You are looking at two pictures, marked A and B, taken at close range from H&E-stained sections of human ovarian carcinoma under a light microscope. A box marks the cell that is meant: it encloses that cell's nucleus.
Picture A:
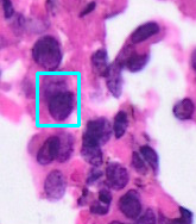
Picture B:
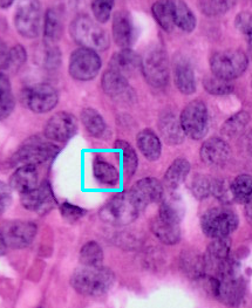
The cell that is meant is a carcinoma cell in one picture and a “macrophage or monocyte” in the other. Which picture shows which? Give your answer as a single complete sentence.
Picture A shows a carcinoma cell and picture B shows a “macrophage or monocyte”.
